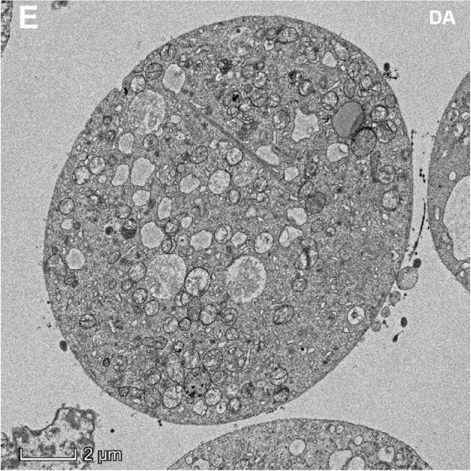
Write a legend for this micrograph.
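The cytoplasm is packed with numerous rounded, membrane-bound profiles, many of them pale and swollen with little internal structure. Scattered among them are a few darker, denser bodies and small vesicles. Parts of neighbouring cells are visible at the edges.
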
